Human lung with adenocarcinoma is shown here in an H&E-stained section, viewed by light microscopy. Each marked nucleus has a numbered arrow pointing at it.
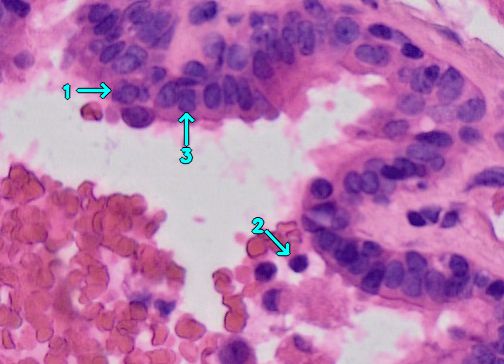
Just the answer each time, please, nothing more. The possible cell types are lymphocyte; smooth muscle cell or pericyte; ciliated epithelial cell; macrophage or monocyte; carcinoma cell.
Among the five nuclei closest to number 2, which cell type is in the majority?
ciliated epithelial cell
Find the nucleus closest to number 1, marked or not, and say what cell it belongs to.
ciliated epithelial cell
